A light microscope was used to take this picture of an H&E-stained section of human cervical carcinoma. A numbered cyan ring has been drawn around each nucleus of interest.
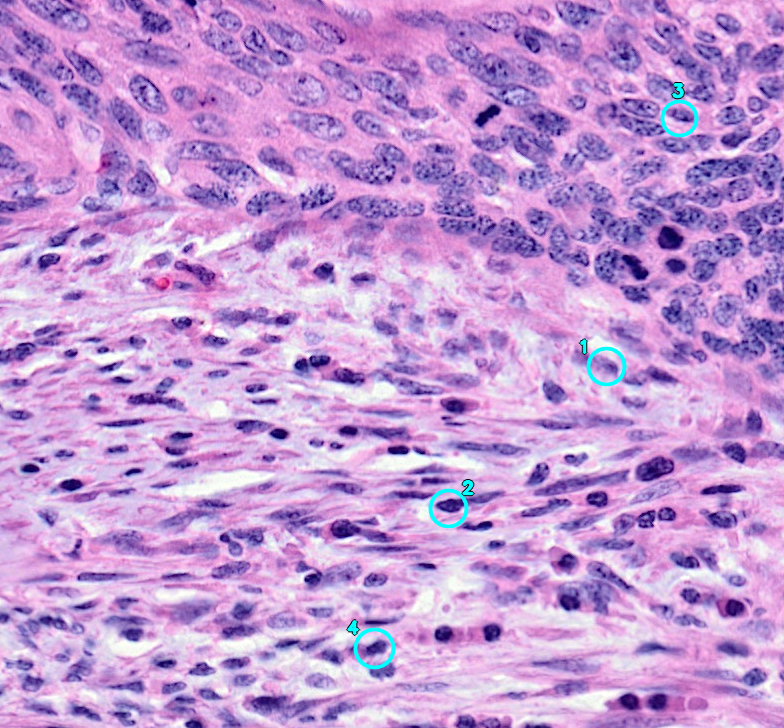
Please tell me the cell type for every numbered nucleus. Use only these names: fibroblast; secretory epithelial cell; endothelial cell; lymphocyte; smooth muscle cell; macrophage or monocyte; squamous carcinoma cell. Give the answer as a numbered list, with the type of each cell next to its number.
1. fibroblast
2. lymphocyte
3. squamous carcinoma cell
4. lymphocyte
